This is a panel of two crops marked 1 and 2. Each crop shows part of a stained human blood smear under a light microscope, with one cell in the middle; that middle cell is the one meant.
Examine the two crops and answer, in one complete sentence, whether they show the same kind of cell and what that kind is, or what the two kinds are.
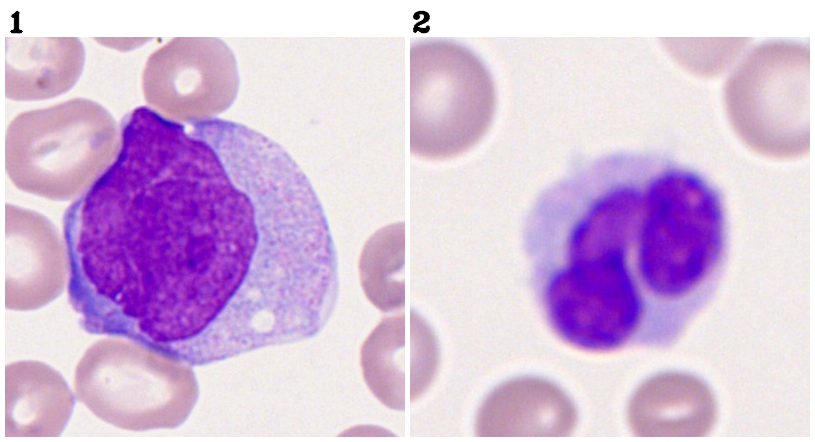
Yes, the central cells, in both crops, are monocytes.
